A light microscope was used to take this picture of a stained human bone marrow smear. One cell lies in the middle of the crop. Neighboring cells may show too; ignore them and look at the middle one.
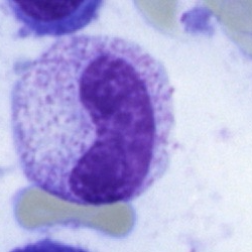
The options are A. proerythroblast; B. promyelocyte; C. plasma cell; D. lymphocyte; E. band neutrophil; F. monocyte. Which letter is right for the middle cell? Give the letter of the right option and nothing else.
E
